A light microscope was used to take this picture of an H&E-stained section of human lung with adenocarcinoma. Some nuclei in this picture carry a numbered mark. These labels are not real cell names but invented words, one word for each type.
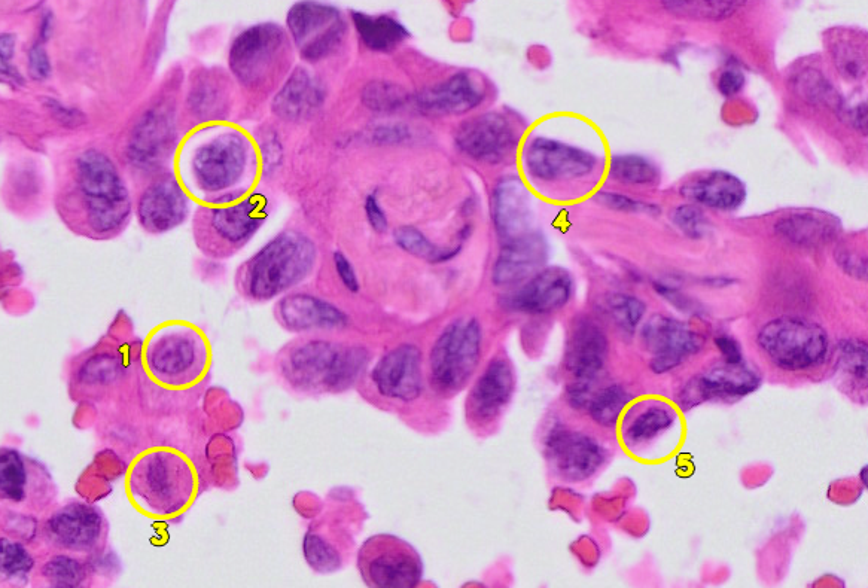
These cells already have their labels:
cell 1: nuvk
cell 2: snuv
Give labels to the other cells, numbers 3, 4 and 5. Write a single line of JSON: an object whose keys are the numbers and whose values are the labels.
{"3": "nuvk", "4": "snuv", "5": "snuv"}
